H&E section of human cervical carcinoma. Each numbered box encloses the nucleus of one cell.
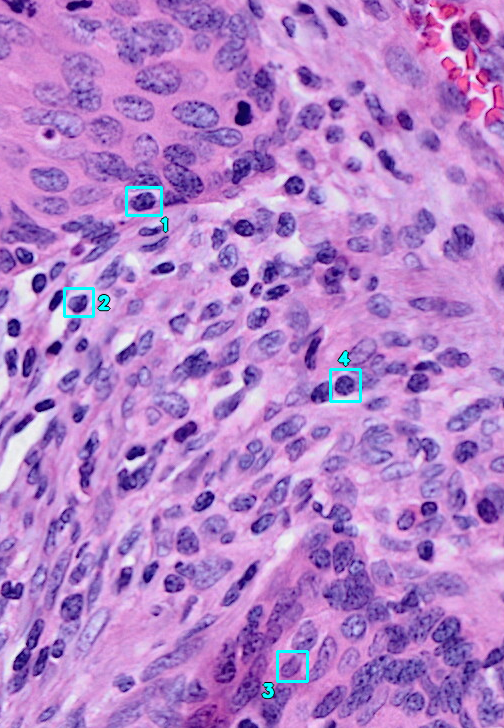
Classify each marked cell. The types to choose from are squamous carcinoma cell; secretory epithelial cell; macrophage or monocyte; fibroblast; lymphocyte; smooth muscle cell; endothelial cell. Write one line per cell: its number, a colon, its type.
1: lymphocyte
2: lymphocyte
3: squamous carcinoma cell
4: lymphocyte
